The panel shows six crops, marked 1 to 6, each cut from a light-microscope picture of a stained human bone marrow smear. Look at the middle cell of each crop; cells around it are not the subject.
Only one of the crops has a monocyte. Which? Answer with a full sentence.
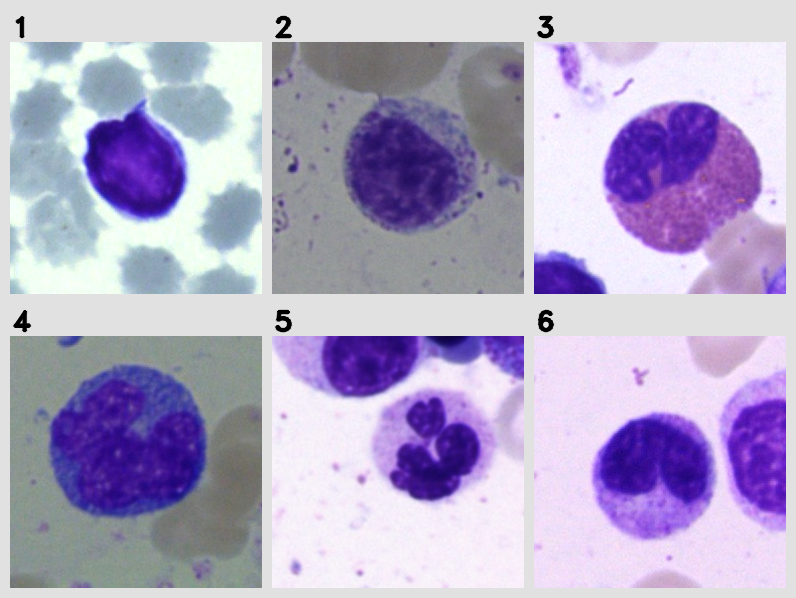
Among the crops, only crop 4 contains a monocyte.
